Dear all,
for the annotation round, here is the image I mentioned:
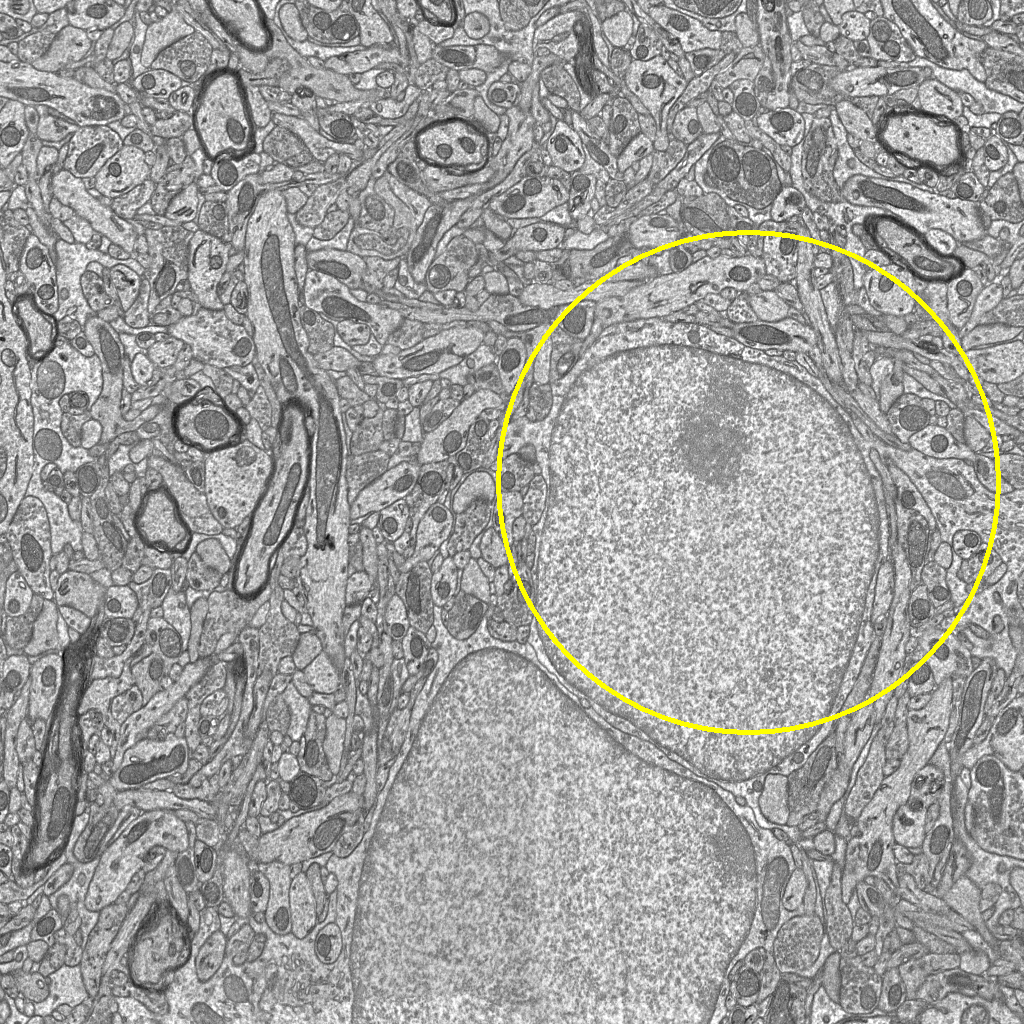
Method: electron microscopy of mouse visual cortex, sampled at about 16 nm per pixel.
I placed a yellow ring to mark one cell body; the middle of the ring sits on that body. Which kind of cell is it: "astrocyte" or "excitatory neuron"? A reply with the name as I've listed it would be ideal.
astrocyte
